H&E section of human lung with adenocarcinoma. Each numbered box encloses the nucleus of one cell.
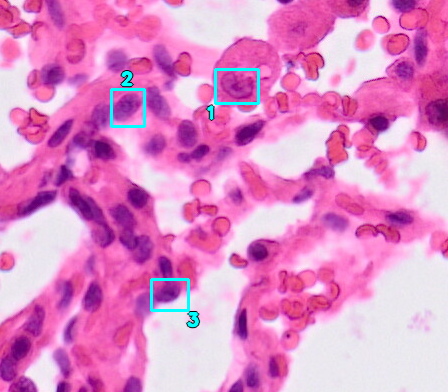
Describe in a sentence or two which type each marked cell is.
Cell 1 is a macrophage or monocyte, cell 2 is a type I pneumocyte and cell 3 is a type I pneumocyte.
